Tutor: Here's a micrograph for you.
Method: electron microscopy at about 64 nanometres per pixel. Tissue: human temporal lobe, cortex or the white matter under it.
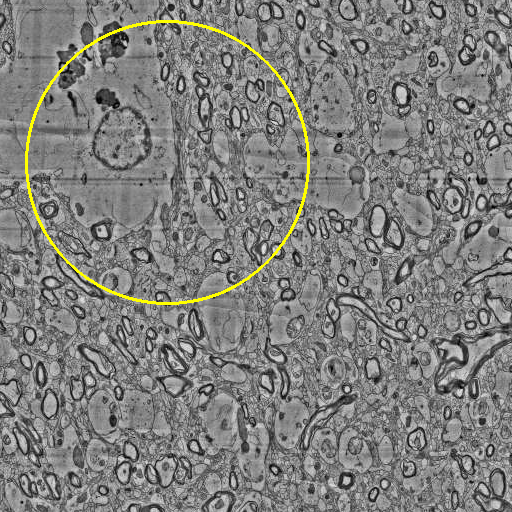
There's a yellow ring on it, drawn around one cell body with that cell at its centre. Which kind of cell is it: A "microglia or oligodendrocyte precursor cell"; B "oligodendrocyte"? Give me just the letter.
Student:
A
